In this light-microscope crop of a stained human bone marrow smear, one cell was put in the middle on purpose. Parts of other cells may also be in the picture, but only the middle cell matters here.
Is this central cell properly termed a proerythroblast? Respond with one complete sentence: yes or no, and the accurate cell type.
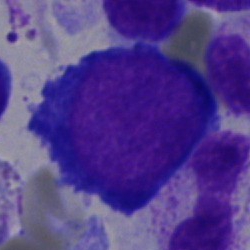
Yes, the centrally placed cell is a proerythroblast.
